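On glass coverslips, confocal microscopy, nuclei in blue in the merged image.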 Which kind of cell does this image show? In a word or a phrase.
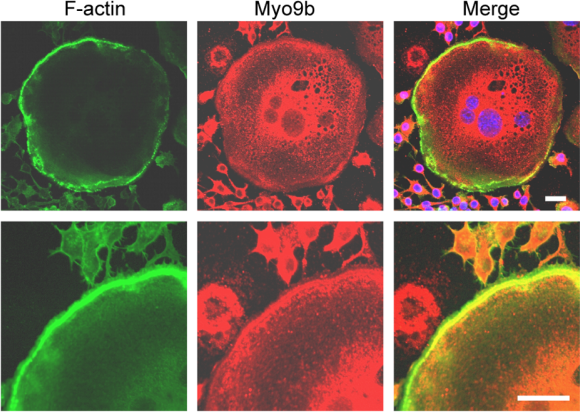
Mature osteoclasts.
